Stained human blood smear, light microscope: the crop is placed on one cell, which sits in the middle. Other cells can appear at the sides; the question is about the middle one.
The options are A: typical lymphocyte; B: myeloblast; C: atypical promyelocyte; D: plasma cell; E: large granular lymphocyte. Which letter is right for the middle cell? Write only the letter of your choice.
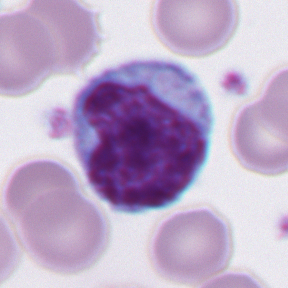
A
